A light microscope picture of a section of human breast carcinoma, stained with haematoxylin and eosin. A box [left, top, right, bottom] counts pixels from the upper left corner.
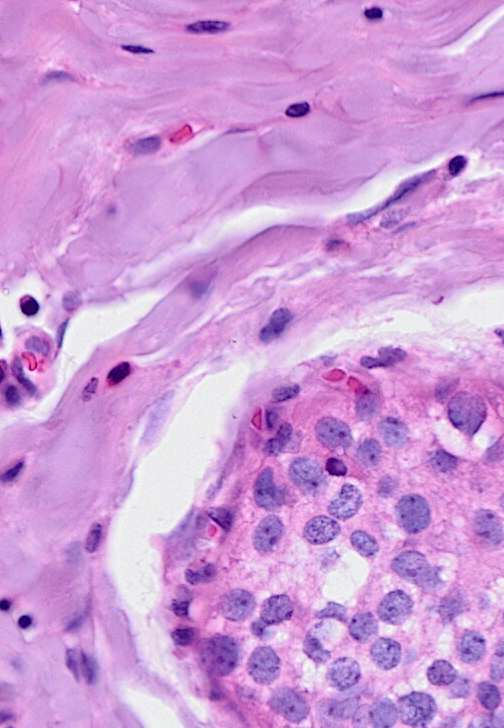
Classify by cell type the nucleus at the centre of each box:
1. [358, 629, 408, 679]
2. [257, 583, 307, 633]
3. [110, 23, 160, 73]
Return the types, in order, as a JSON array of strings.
["carcinoma cell", "carcinoma cell", "fibroblast"]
